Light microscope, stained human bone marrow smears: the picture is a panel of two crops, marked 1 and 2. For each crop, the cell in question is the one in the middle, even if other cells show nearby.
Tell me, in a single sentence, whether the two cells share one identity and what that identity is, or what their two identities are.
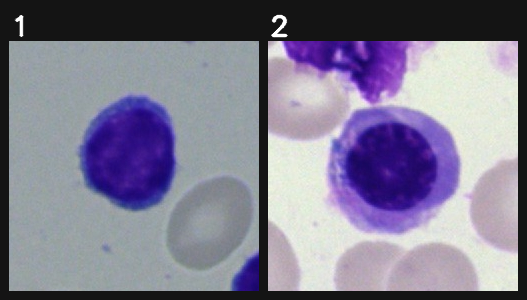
No, a normoblast is the cell of crop 2, while a lymphocyte is the cell of crop 1.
